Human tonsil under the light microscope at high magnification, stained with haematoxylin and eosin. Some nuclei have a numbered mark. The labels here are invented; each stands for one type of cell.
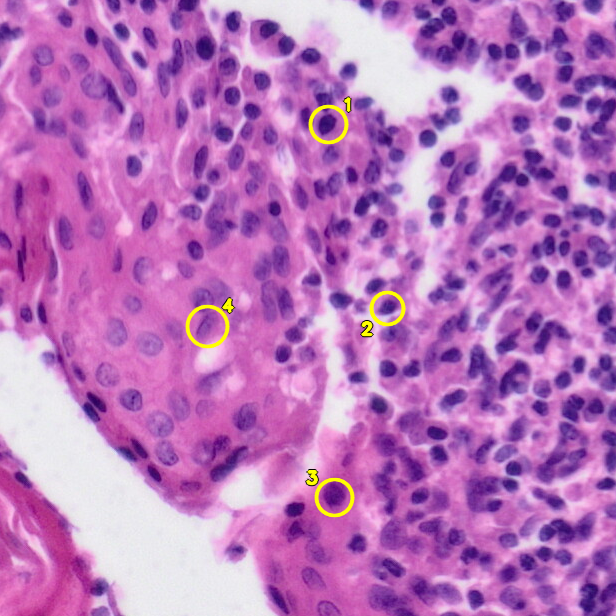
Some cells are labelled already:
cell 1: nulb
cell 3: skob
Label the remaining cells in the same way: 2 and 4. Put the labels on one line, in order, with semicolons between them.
nulb; skob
